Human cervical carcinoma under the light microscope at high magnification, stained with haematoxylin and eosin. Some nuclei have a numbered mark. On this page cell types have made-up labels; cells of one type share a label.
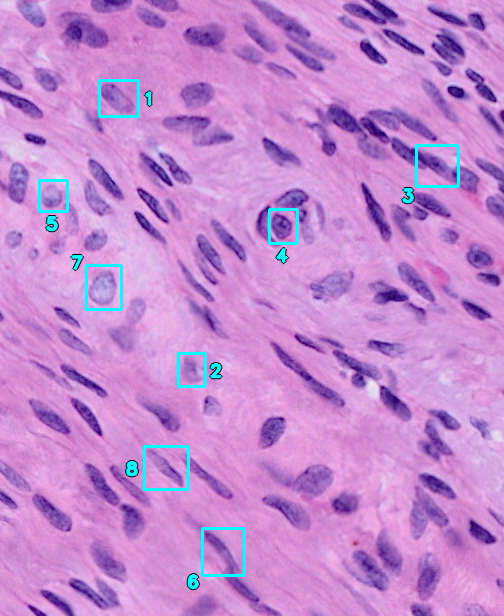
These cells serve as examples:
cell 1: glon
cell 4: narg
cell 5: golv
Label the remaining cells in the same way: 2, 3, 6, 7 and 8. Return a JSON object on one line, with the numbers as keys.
{"2": "glon", "3": "glon", "6": "glon", "7": "golv", "8": "glon"}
